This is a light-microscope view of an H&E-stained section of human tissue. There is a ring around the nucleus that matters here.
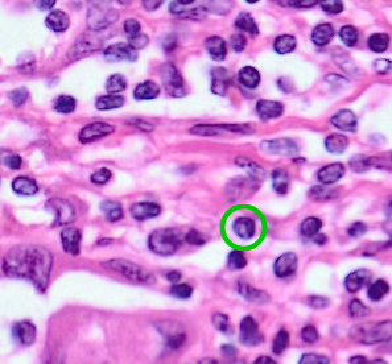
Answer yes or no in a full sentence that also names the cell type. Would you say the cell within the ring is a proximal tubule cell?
No, the cell within the ring is not a proximal tubule cell; a lymphocyte is what it is.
